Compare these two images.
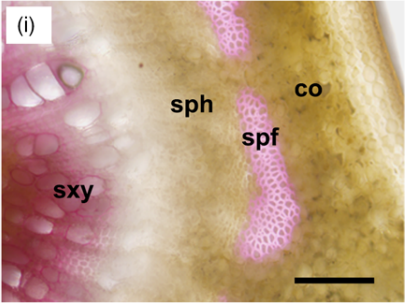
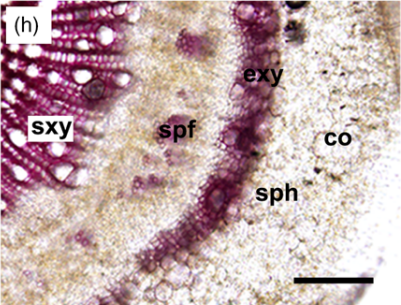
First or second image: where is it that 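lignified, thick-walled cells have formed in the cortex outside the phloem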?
the second image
